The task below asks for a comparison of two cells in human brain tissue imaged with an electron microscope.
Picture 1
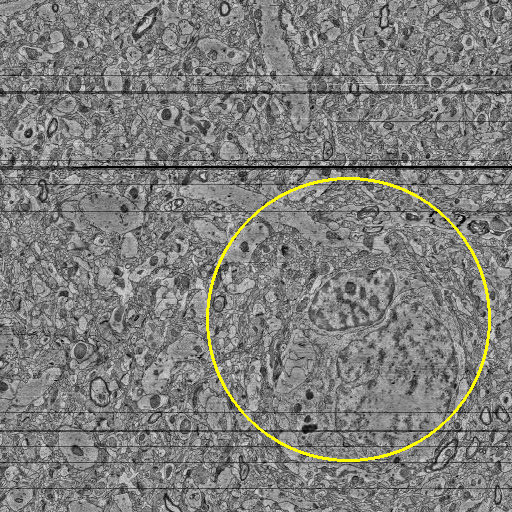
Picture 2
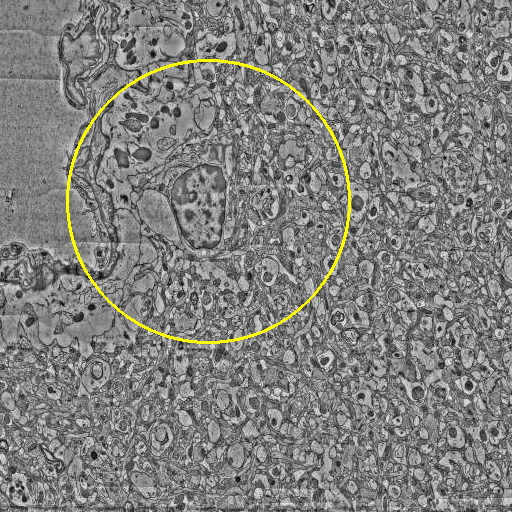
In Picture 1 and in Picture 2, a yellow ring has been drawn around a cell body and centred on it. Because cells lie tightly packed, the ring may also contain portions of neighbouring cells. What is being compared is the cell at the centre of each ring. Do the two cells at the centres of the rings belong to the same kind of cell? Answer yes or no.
yes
